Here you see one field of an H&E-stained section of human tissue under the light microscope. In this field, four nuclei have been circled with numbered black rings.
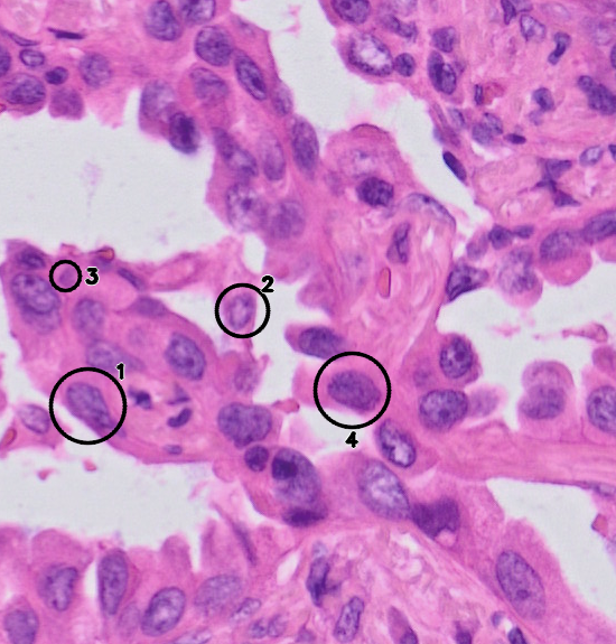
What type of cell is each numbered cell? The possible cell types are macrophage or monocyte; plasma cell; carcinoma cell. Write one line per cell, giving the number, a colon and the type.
1: carcinoma cell
2: macrophage or monocyte
3: carcinoma cell
4: carcinoma cell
